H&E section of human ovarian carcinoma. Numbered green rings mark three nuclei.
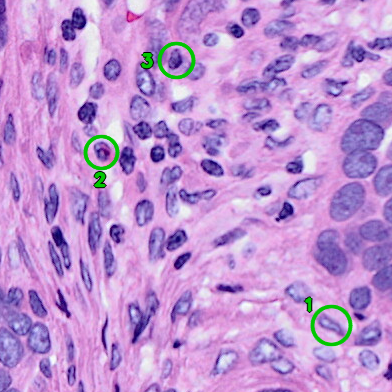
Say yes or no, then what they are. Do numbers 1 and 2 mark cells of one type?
No, that's wrong; cell 1 is a fibroblast and cell 2 is a lymphocyte.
